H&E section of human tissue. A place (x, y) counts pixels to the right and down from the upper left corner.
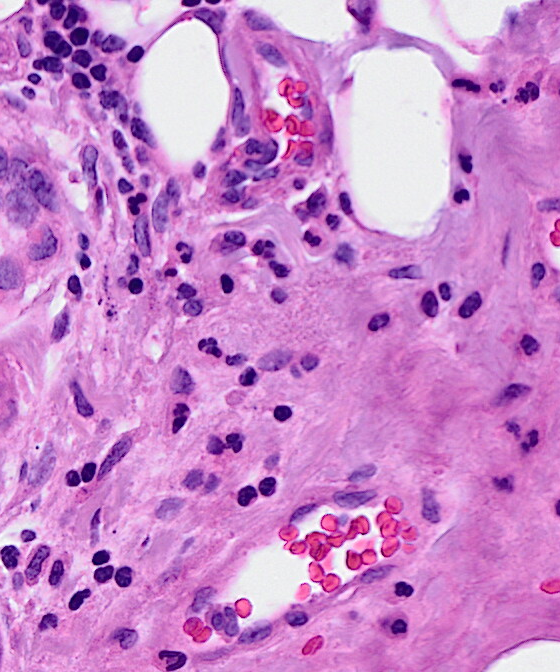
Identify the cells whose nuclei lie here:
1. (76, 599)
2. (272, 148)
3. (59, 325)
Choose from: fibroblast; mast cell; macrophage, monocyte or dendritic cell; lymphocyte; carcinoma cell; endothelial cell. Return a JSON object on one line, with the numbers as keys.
{"1": "lymphocyte", "2": "endothelial cell", "3": "fibroblast"}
